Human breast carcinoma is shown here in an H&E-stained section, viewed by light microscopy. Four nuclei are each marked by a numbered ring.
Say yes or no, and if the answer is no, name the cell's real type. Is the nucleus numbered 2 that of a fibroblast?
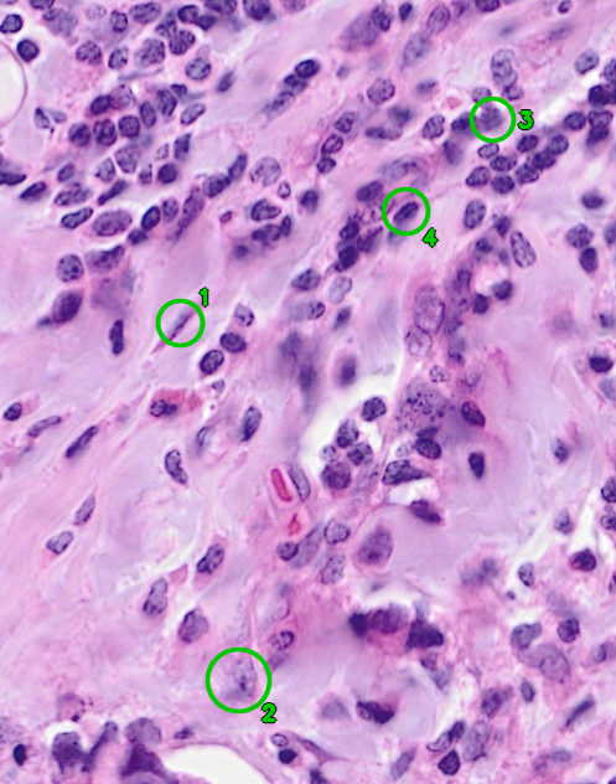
Yes.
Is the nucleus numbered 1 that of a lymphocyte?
No, it is a fibroblast.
